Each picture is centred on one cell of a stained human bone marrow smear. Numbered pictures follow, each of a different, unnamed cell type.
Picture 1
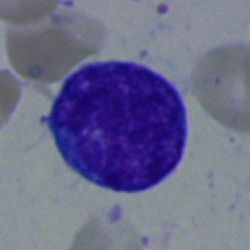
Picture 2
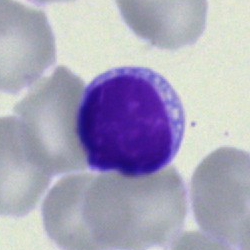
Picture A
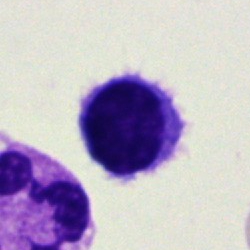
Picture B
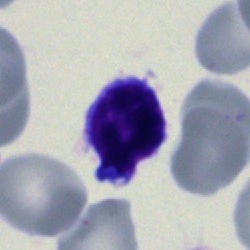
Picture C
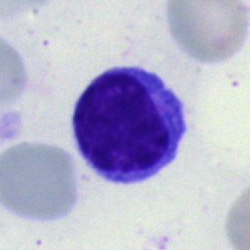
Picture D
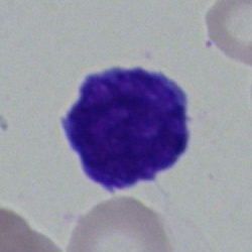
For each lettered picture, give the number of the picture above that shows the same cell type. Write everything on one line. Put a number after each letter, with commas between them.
A 2, B 2, C 2, D 1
